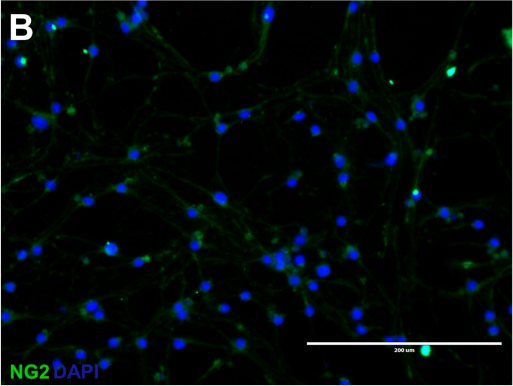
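Cultured oligodendrocyte precursor cells seen by fluorescence, with blue nuclei and a faint green label. The nuclei are small, round to oval and evenly blue, spread fairly evenly over the field with a few small groups. The green label traces fine, thin processes running between the cells and crossing one another into a delicate network. It also rims some cell bodies around the nuclei. Scattered small bright green dots lie along the processes and beside some nuclei.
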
